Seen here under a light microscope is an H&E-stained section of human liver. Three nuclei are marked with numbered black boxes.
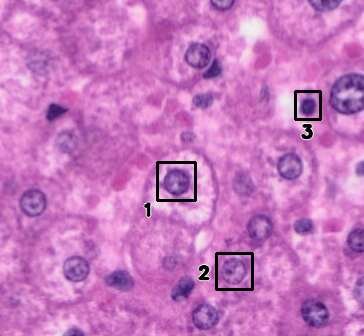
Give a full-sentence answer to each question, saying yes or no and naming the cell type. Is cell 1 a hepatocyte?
Yes. The cell carrying number 1 is a hepatocyte.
